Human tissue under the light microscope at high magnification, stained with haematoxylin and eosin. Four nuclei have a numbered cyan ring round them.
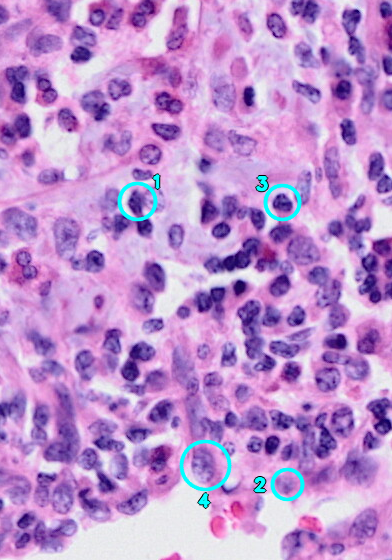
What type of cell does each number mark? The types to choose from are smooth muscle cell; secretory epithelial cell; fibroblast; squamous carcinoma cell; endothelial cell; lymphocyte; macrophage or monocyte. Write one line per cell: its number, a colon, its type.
1: lymphocyte
2: endothelial cell
3: lymphocyte
4: endothelial cell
